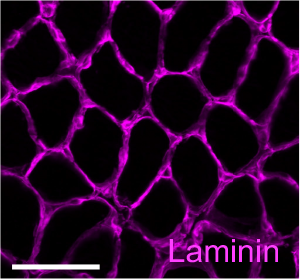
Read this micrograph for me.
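This is a transverse section of skeletal muscle in which the individual muscle fibers are cut across. Each fiber appears as a dark, unstained polygonal profile surrounded by a thin magenta ring that outlines its border. The fibers are packed closely together in a honeycomb-like pattern, and the magenta borders of neighbouring fibers lie side by side. The profiles are of broadly similar size and shape, with rounded corners. No large gaps, clusters of very small fibers or markedly swollen fibers are evident in the field.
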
